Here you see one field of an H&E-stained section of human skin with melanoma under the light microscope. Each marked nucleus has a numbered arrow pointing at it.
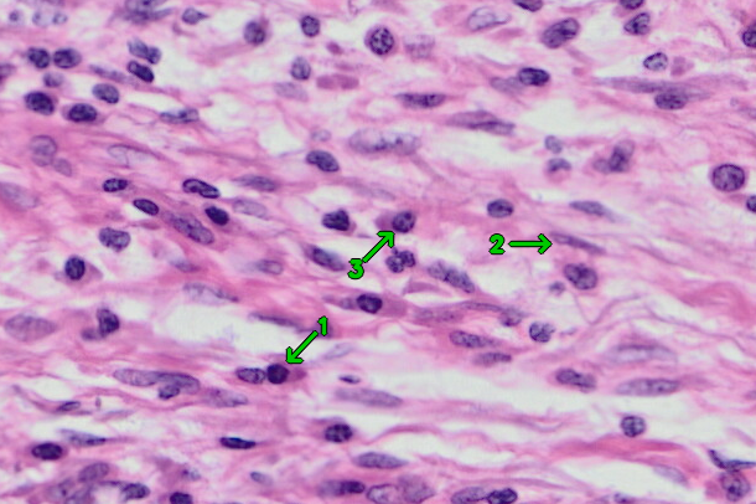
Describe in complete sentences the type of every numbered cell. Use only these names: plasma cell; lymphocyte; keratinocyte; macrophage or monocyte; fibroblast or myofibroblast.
Cells 1 and 3 are plasma cells. Cell 2 is a fibroblast or myofibroblast.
